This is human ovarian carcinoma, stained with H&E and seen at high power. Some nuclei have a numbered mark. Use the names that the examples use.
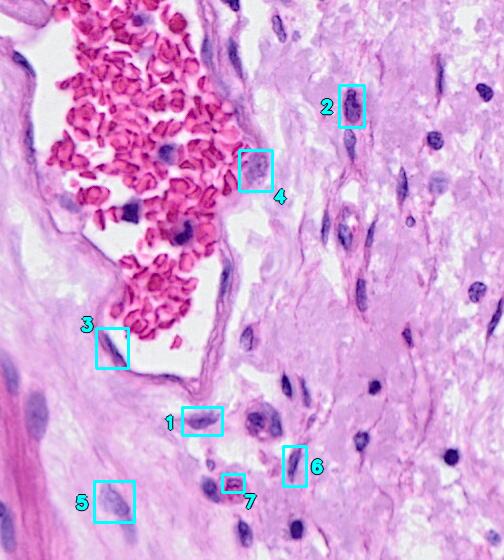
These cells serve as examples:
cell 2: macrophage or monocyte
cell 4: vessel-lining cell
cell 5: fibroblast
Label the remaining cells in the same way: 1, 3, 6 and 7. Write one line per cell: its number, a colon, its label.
1: fibroblast
3: vessel-lining cell
6: fibroblast
7: vessel-lining cell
